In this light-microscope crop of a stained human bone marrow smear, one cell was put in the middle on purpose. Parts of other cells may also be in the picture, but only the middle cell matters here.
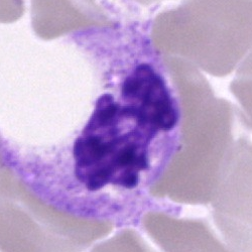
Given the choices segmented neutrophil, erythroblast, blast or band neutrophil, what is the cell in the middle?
segmented neutrophil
